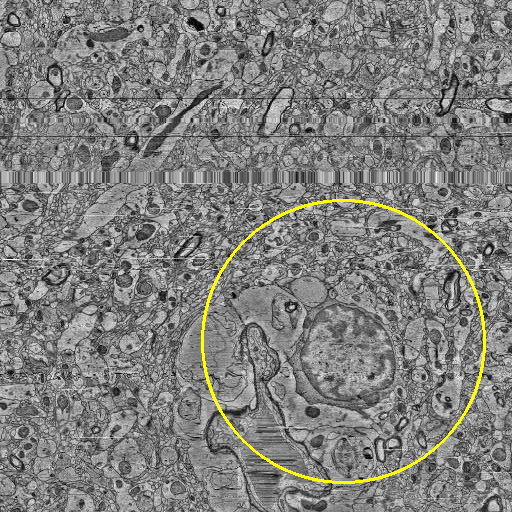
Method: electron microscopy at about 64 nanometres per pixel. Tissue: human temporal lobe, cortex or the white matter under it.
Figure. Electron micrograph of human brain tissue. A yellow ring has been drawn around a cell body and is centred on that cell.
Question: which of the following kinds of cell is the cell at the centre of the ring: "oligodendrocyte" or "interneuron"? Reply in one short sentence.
The cell at the centre of the ring is an oligodendrocyte.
